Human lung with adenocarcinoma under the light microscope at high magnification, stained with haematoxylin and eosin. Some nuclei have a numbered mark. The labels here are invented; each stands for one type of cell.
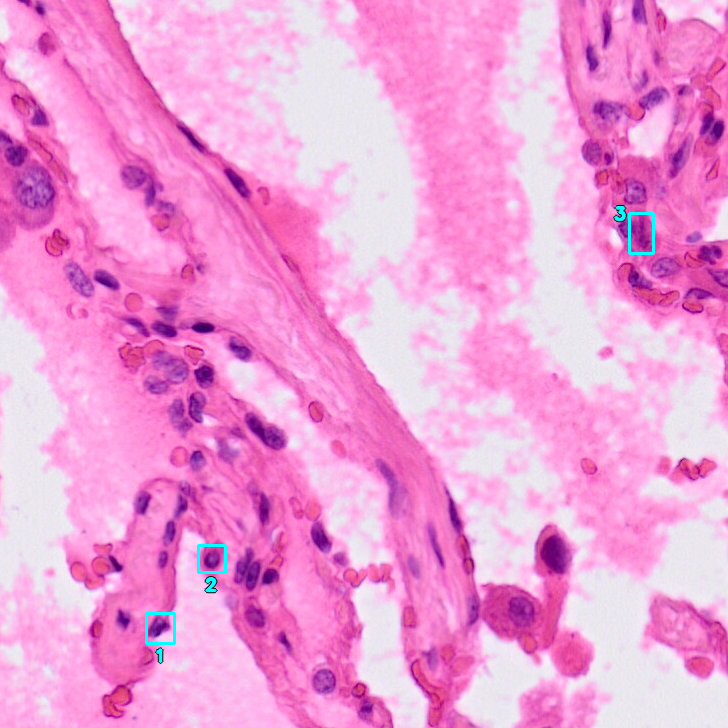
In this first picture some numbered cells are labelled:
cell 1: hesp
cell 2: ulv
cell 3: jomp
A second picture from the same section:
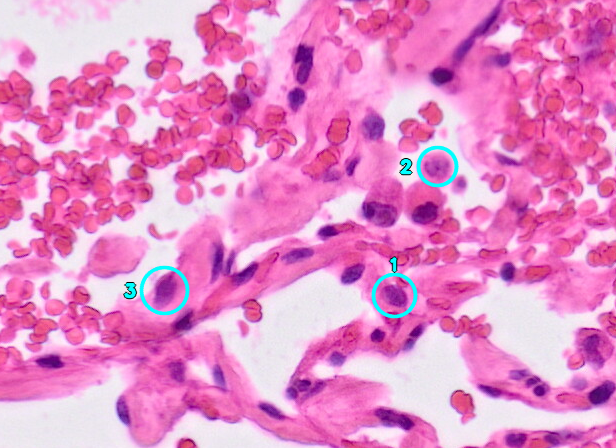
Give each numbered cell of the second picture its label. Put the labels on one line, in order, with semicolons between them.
hesp; jomp; hesp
